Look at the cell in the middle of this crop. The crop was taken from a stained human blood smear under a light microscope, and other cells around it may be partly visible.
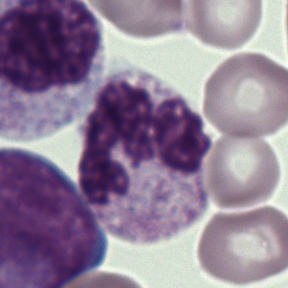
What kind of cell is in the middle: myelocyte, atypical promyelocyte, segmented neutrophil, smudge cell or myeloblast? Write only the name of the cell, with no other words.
segmented neutrophil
